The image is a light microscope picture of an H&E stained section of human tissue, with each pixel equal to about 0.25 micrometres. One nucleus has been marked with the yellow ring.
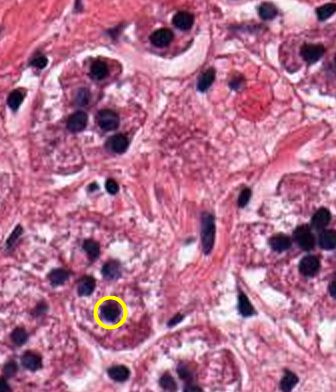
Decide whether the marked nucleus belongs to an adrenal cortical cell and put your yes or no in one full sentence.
Yes, the marked nucleus forms part of an adrenal cortical cell.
